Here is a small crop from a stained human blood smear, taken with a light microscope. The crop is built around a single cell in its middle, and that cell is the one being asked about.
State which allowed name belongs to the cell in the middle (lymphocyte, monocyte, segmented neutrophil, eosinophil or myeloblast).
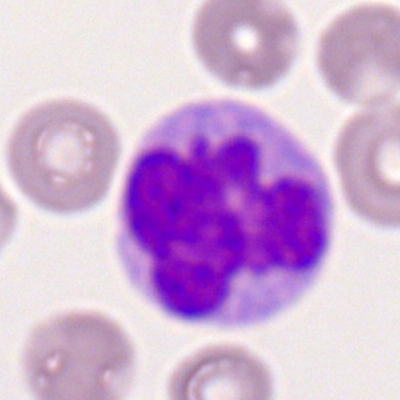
monocyte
